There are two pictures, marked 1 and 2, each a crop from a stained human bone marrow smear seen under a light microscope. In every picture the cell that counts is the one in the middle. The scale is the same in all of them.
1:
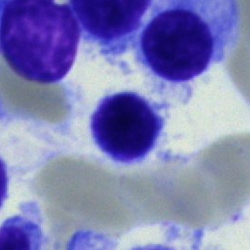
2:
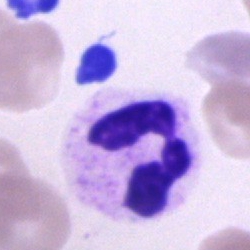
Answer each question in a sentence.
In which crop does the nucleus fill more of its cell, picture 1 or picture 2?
The nucleus fills more of the cell in picture 1 than in picture 2.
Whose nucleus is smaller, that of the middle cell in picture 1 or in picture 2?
It is the nucleus in picture 1; the one in picture 2 has about 2 times its area.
